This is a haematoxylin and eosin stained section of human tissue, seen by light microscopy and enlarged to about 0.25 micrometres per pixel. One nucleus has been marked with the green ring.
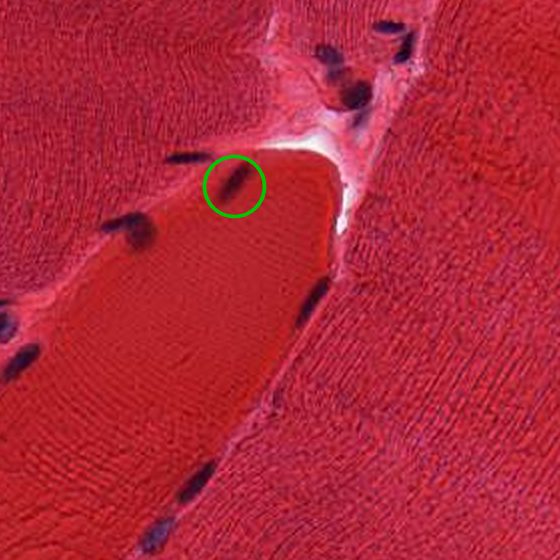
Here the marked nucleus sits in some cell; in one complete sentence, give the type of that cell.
The marked nucleus is part of a skeletal muscle fibre.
